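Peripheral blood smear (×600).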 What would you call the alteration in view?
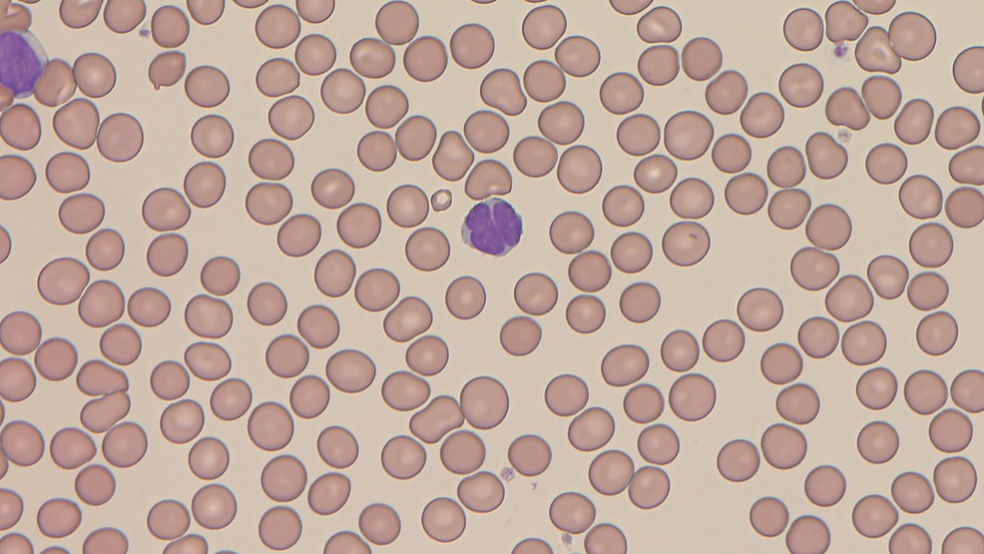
highly indented or lobulated nuclei with condensed chromatin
